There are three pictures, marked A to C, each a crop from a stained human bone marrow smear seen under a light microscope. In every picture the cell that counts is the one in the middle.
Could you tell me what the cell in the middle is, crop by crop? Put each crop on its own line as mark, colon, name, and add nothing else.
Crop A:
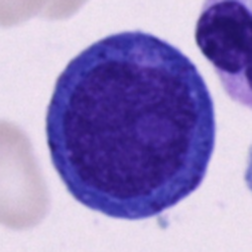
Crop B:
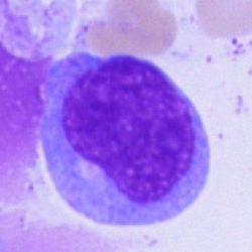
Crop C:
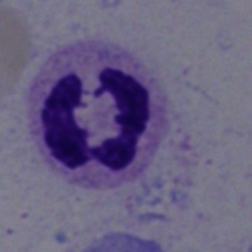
A: proerythroblast
B: monocyte
C: segmented neutrophil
